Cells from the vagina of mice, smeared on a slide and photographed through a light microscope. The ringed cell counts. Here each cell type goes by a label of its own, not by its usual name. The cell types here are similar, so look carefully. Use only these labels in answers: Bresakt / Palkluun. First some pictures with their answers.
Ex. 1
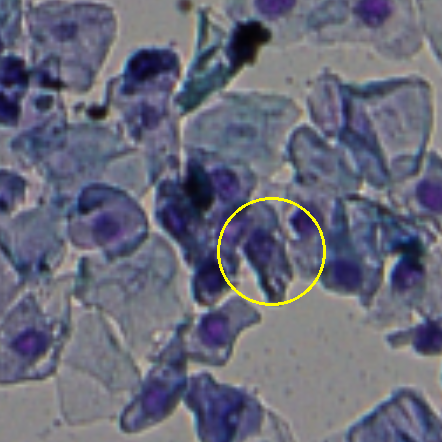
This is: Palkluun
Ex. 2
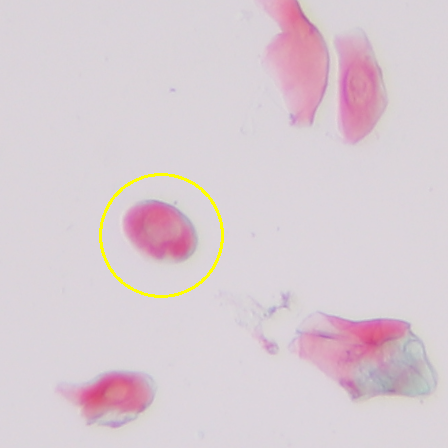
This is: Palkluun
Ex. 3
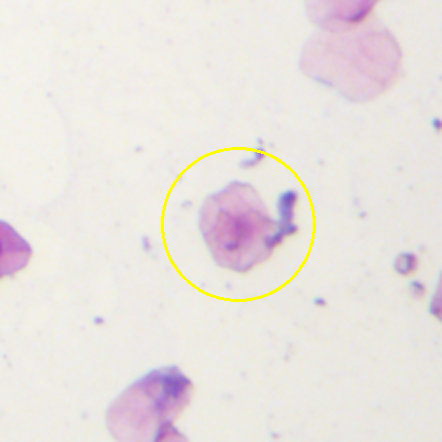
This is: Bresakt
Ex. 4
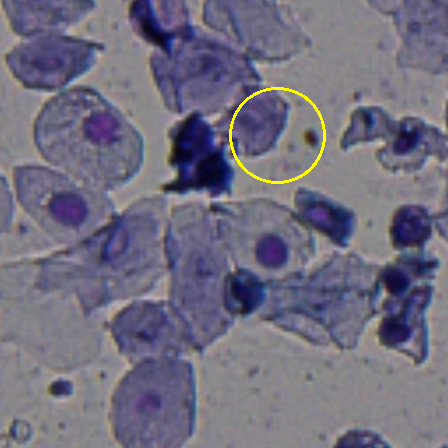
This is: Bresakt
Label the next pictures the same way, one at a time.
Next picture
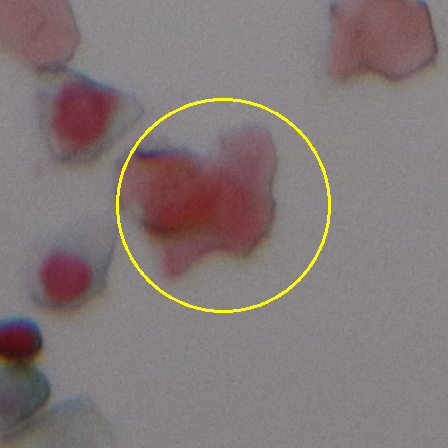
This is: Bresakt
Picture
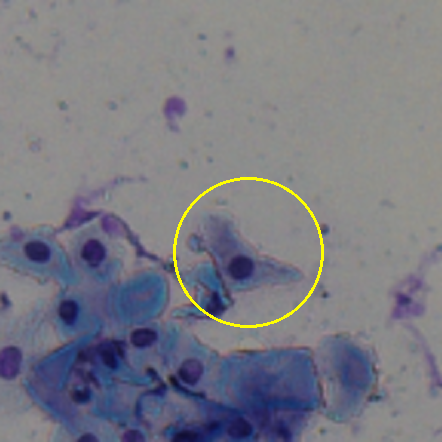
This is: Palkluun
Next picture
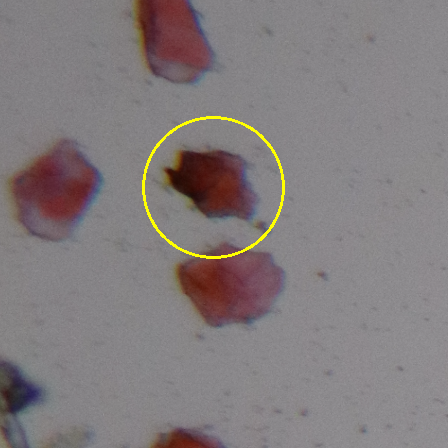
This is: Bresakt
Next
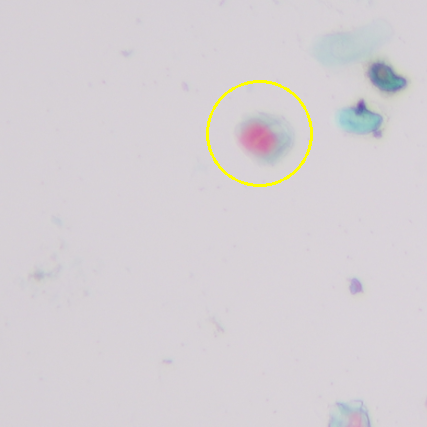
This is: Palkluun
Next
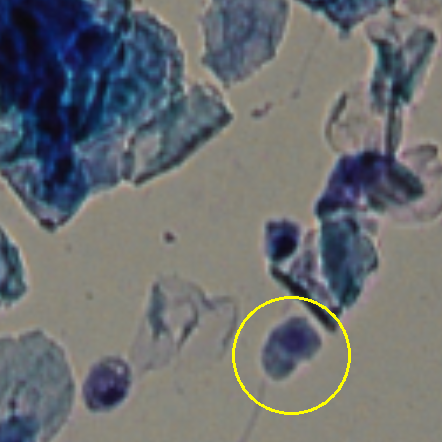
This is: Palkluun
